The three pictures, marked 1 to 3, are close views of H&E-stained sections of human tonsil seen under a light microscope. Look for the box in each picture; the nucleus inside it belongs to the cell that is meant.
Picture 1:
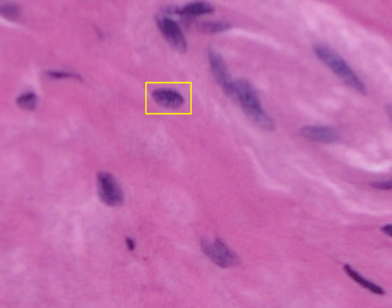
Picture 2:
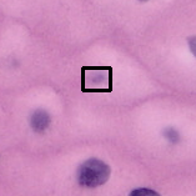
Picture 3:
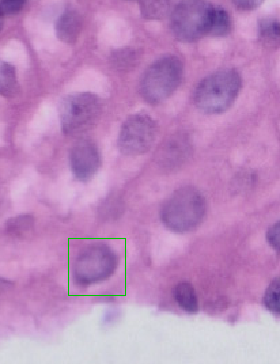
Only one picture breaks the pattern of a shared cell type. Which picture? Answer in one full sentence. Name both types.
Picture 1 differs, because its cell is a mast cell and the rest are squamous epithelial cells.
